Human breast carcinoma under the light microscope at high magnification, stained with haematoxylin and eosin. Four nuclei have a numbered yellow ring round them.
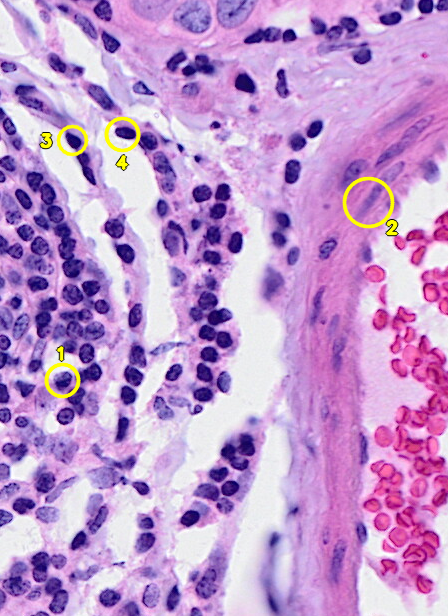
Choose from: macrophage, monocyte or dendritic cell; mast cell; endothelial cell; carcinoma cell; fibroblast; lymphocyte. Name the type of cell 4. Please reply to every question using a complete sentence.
The cell that is numbered 4 is a lymphocyte.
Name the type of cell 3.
Number 3 is placed on a lymphocyte here.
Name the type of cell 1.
Corresponding to a lymphocyte is the cell labelled 1.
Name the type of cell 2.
The correct answer for cell 2 is an endothelial cell.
